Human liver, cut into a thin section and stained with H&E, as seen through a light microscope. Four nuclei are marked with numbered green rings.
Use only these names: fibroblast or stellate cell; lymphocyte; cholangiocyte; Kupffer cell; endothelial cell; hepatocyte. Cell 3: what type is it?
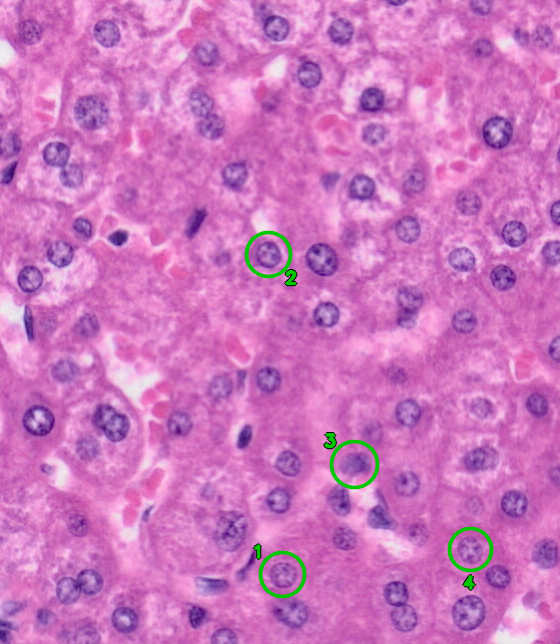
endothelial cell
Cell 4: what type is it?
hepatocyte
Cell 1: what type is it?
hepatocyte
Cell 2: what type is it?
hepatocyte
